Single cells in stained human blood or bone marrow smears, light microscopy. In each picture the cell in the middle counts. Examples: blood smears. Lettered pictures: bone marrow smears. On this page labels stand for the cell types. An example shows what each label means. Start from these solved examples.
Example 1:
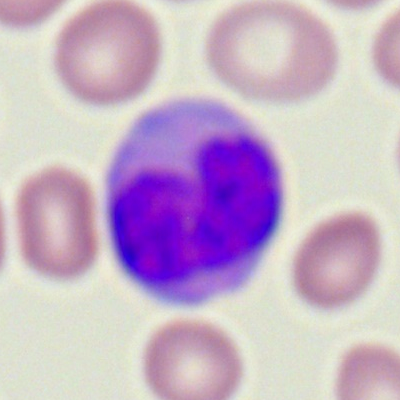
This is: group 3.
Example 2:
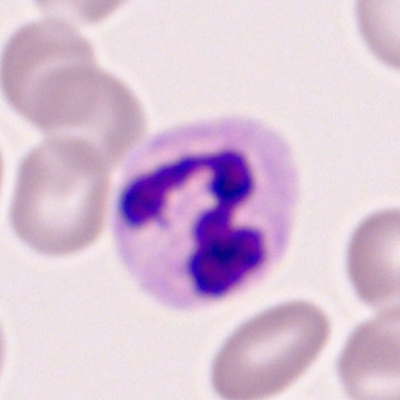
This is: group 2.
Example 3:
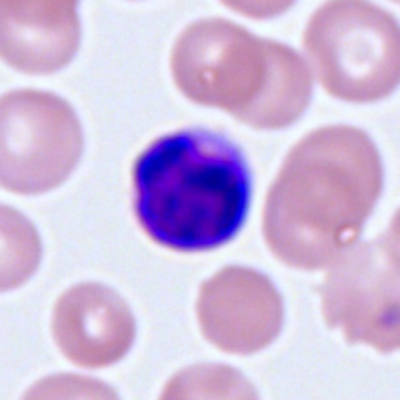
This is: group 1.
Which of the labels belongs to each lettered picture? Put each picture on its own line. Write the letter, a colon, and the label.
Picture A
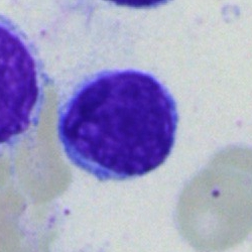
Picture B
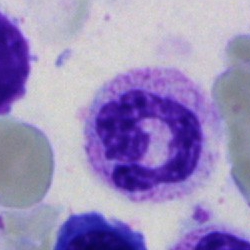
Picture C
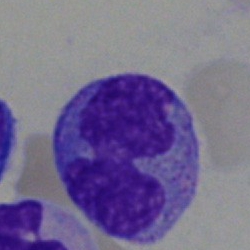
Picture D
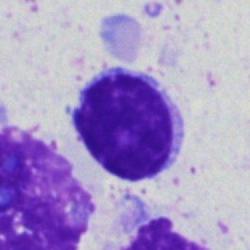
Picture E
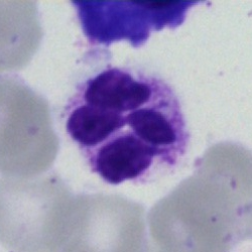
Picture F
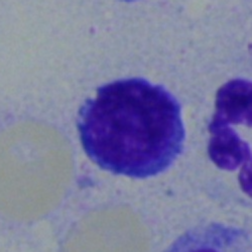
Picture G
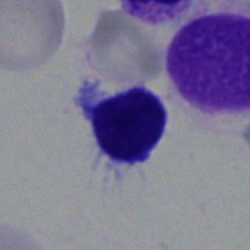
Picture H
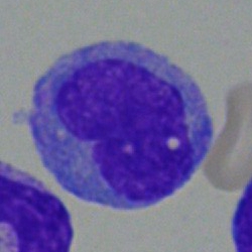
A: group 1.
B: group 2.
C: group 3.
D: group 1.
E: group 2.
F: group 1.
G: group 1.
H: group 3.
